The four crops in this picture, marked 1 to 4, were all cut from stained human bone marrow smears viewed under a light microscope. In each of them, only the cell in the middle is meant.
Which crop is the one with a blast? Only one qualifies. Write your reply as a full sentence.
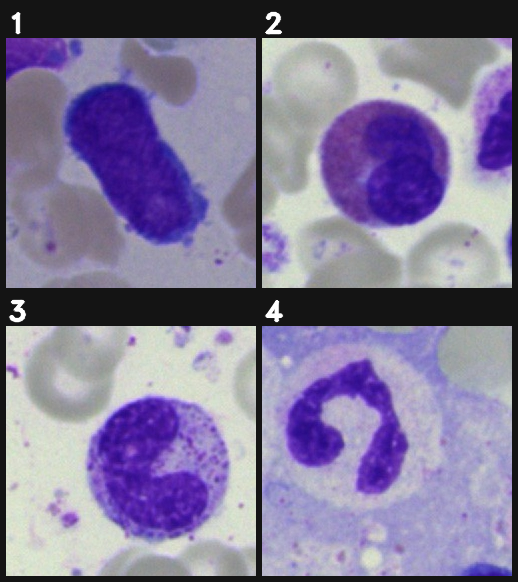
Crop 1, of the crops presented, is the one showing a blast.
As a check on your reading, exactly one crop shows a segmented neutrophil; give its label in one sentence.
The one showing a segmented neutrophil is crop 4.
